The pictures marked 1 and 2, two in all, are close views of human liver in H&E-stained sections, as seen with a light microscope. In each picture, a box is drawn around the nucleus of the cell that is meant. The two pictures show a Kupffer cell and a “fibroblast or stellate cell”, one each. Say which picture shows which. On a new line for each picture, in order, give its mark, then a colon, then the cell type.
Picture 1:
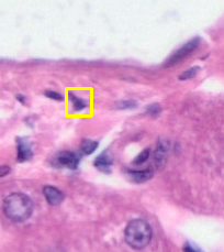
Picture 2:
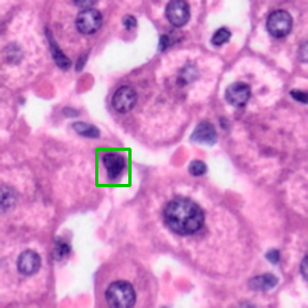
1: fibroblast or stellate cell
2: Kupffer cell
